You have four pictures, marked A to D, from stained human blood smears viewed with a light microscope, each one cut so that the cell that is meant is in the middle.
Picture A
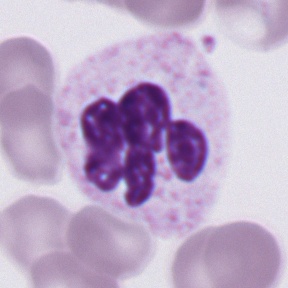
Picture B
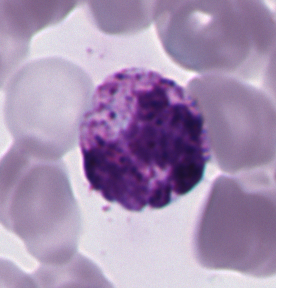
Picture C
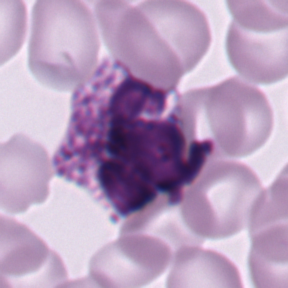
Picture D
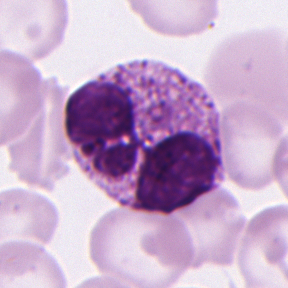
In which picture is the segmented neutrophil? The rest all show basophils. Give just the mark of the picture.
A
